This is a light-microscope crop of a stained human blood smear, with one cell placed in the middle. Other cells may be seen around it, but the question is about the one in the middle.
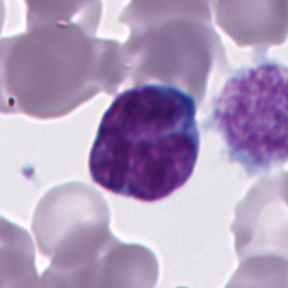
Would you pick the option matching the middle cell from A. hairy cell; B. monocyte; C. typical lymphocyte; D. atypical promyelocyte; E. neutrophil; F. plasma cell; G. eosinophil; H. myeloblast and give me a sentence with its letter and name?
The cell in the middle is correctly identified as a typical lymphocyte in option C.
